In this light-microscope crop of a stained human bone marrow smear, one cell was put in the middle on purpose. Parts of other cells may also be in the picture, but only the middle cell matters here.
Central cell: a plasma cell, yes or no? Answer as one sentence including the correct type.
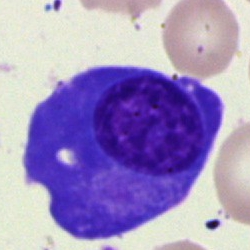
Yes, the cell in the centre is a plasma cell.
